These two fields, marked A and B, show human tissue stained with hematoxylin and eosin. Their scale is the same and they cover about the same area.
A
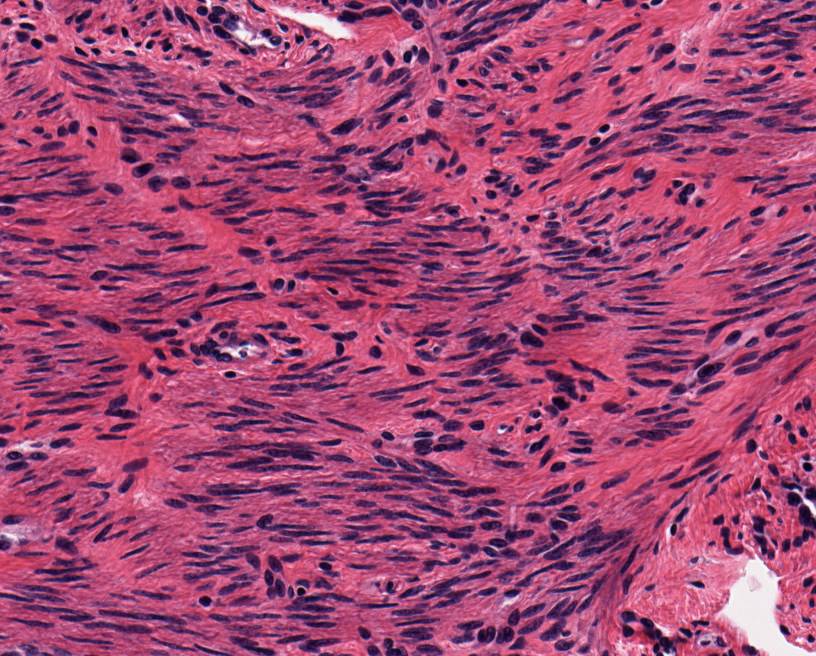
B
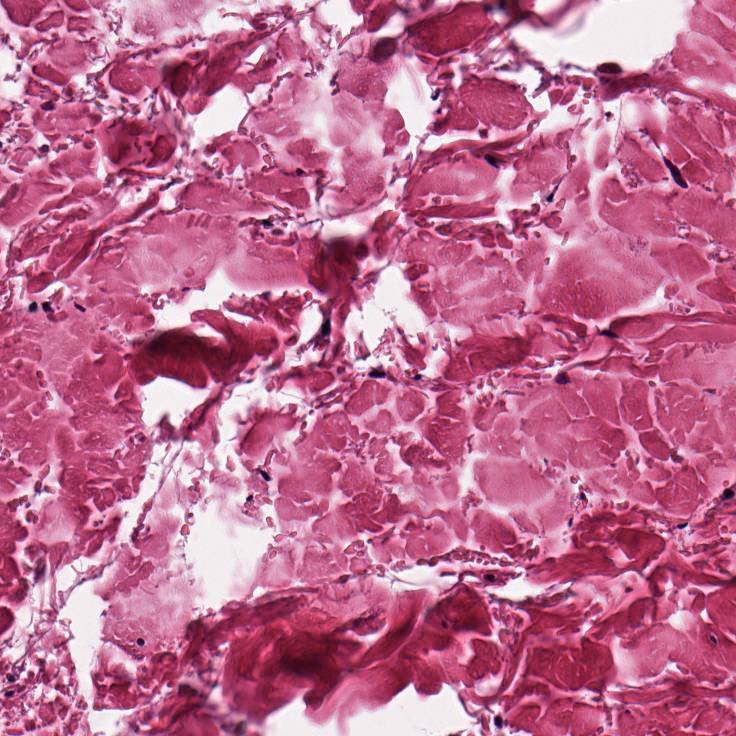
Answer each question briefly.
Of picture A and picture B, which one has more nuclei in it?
A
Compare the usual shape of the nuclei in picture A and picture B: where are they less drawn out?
B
